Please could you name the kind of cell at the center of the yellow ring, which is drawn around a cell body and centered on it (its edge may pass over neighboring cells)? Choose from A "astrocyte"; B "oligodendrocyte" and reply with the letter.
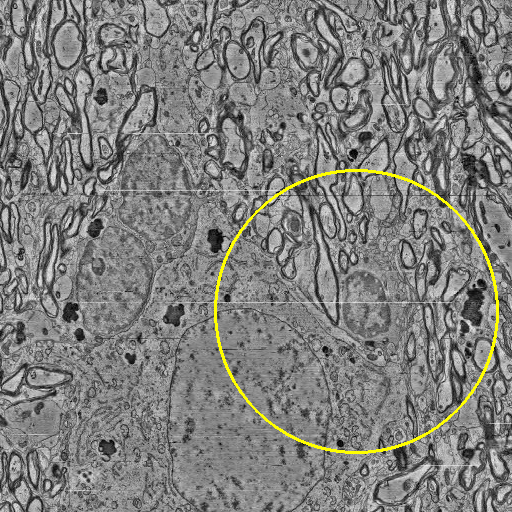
B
